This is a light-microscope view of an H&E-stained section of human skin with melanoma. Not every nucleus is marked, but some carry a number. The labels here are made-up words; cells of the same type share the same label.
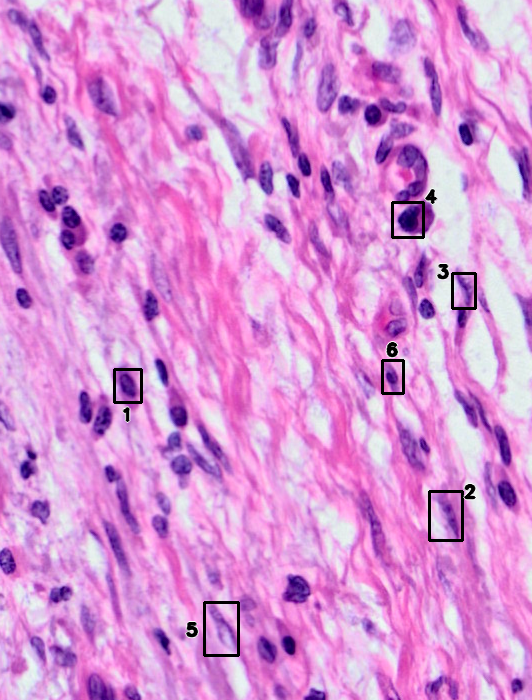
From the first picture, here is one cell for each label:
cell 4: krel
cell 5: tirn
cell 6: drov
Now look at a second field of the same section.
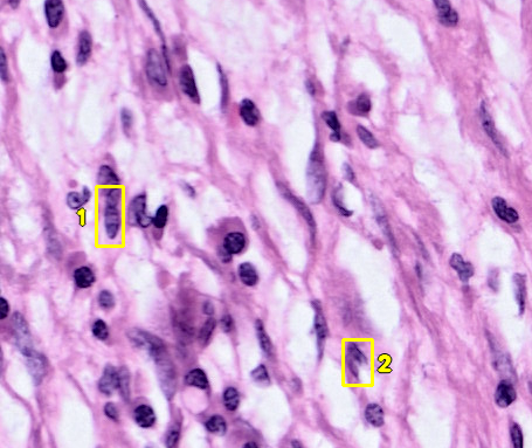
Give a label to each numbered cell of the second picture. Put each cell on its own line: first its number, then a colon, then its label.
1: drov
2: tirn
